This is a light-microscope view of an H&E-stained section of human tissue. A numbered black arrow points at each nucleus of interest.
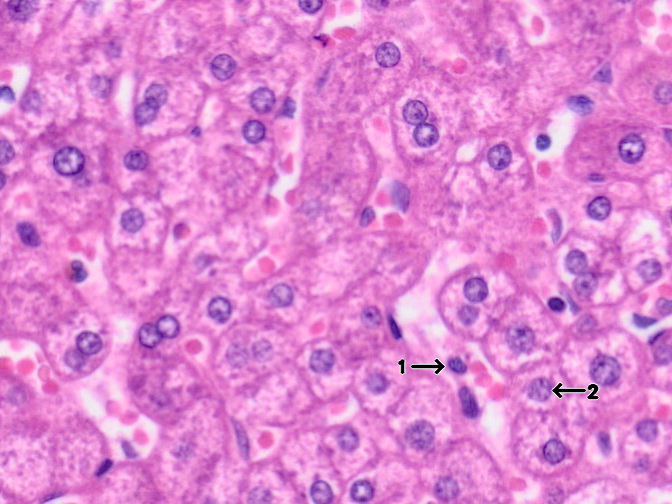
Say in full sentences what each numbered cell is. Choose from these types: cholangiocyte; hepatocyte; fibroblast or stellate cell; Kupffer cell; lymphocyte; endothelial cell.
Cell 1 is a lymphocyte. Cell 2 is a hepatocyte.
